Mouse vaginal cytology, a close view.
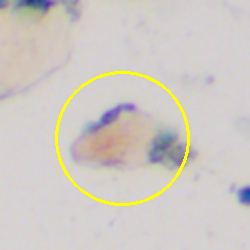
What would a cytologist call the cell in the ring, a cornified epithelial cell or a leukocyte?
A cytologist would call it a cornified epithelial cell.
